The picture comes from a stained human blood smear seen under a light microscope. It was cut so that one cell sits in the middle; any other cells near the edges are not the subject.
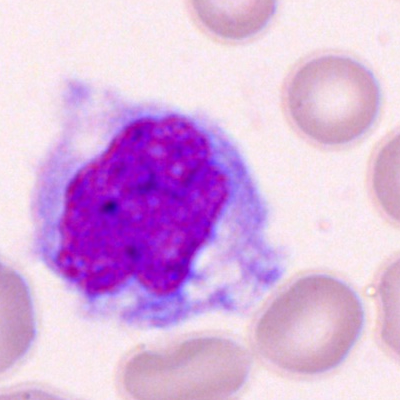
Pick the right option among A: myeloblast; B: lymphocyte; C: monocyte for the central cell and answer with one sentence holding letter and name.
Option C holds up: the cell in the middle is a monocyte.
